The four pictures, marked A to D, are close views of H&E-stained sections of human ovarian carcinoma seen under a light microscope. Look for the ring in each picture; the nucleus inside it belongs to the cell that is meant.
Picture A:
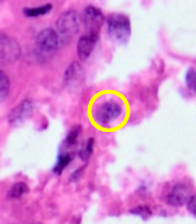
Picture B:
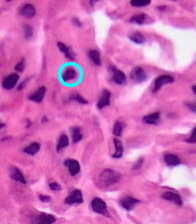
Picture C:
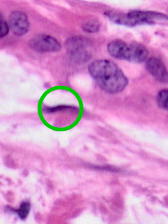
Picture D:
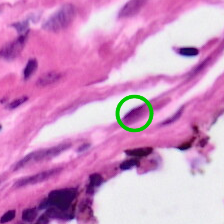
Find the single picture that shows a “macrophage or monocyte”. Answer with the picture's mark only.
A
